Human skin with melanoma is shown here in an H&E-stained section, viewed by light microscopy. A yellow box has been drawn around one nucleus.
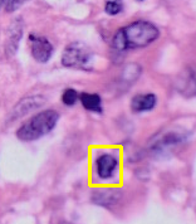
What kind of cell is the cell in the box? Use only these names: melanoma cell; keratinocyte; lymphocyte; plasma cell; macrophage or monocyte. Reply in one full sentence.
The cell in the box appears to be a lymphocyte.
